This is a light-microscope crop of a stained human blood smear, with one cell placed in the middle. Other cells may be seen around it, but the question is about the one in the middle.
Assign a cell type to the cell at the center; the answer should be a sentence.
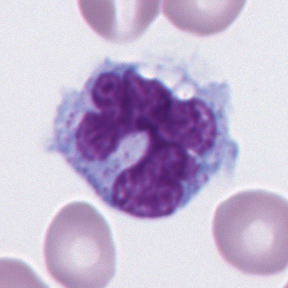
The cell occupying the middle of the crop is a monocyte.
